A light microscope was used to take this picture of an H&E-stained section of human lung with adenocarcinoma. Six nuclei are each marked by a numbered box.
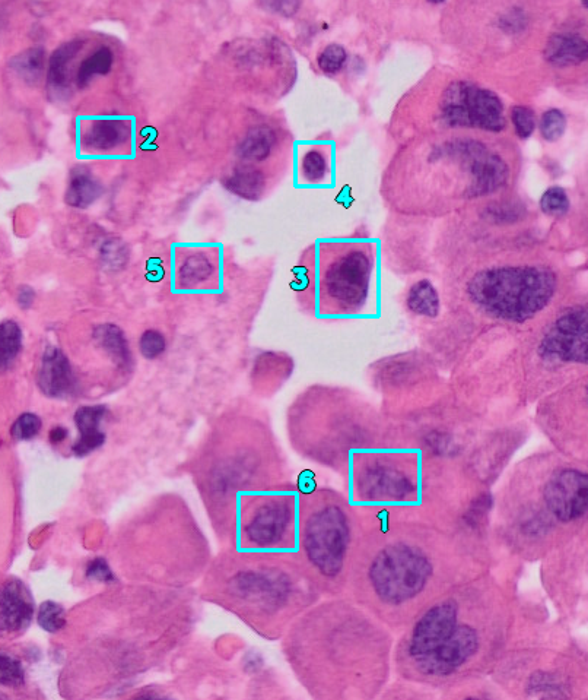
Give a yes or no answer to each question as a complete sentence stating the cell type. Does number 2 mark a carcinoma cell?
Yes, the numbered nucleus 2 is that of a carcinoma cell.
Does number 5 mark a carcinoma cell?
No, instead of a carcinoma cell, the cell with number 5 is a macrophage or monocyte.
